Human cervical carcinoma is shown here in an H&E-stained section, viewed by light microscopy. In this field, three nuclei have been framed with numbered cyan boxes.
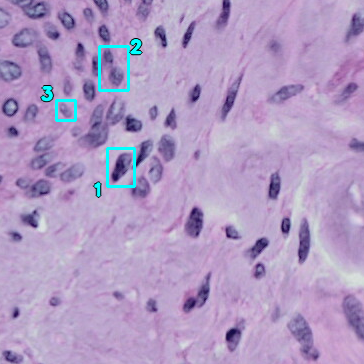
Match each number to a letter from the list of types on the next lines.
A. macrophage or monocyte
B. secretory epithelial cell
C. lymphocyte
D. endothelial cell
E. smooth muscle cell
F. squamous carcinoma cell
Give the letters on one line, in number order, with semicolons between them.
C; E; E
